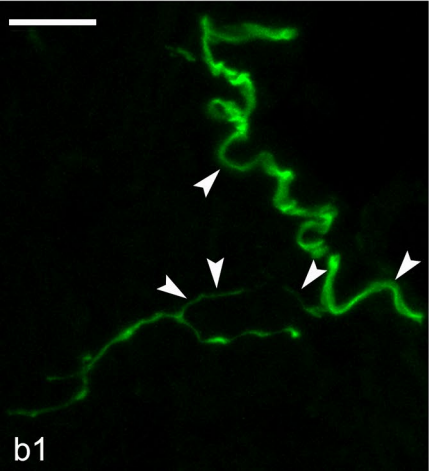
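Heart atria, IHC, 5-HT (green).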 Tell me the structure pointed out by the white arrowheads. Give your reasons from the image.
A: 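Axon fiber bundles. A single green thread-like process winds in a tight wavy course. A thinner branch splits from it and runs to the left.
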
